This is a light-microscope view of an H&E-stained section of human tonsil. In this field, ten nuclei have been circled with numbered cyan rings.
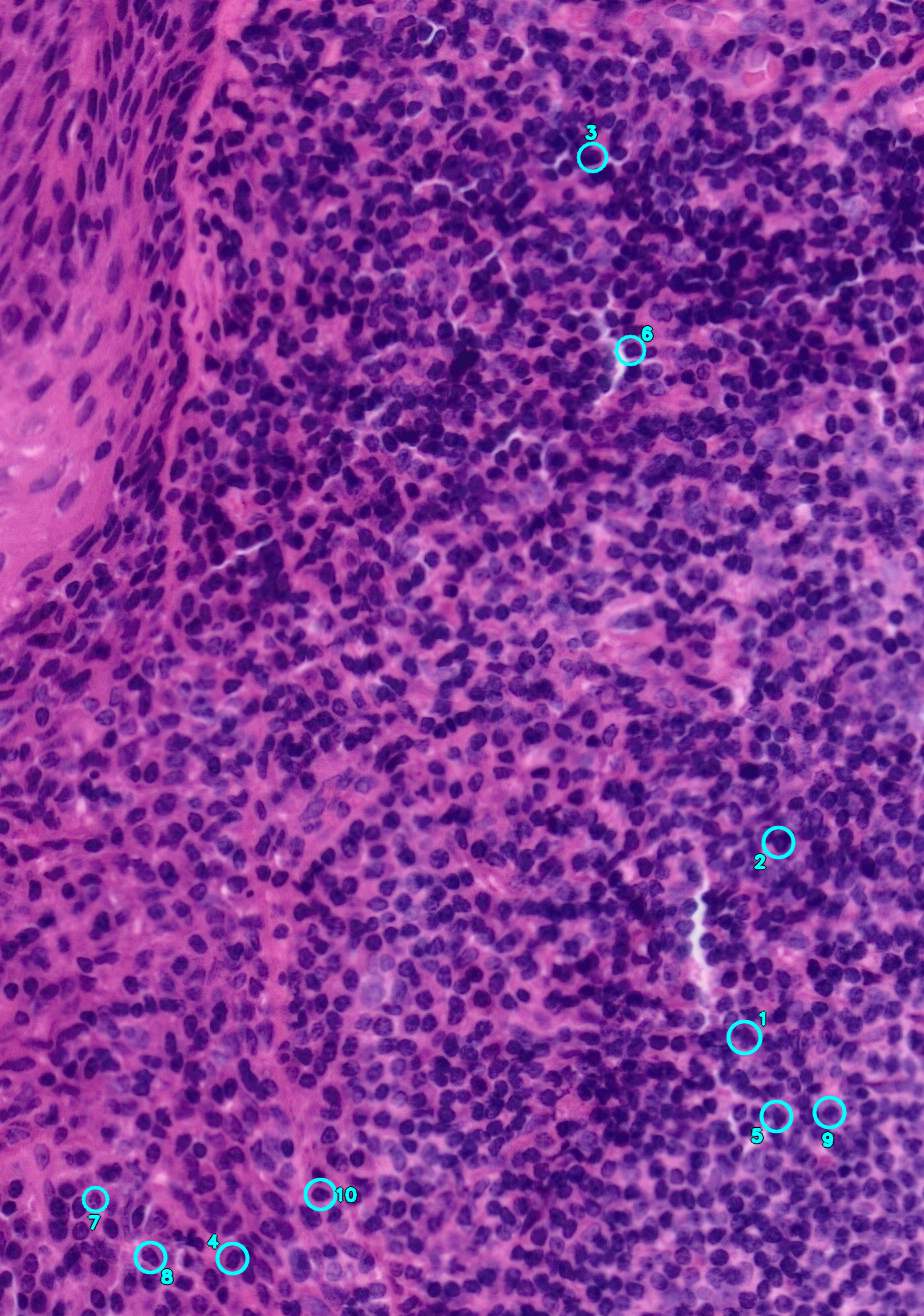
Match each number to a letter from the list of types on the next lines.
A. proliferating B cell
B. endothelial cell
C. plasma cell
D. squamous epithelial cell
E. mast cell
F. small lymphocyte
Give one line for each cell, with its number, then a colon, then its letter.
1: F
2: F
3: F
4: C
5: F
6: F
7: C
8: C
9: F
10: C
